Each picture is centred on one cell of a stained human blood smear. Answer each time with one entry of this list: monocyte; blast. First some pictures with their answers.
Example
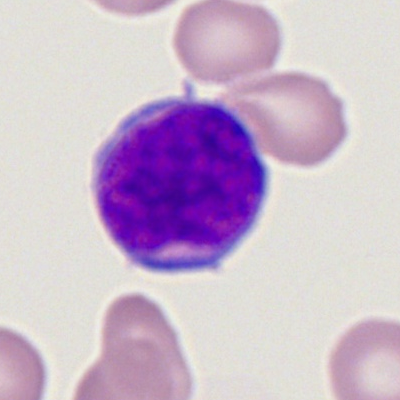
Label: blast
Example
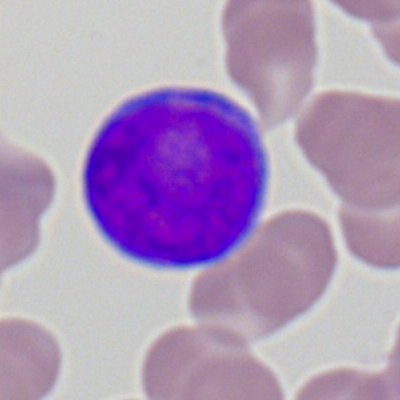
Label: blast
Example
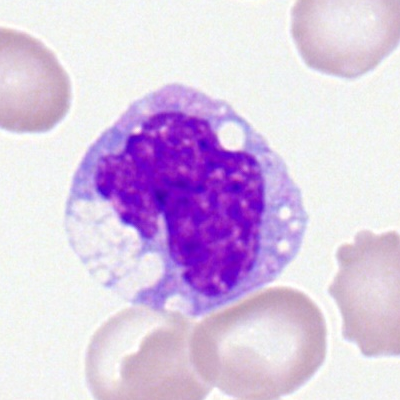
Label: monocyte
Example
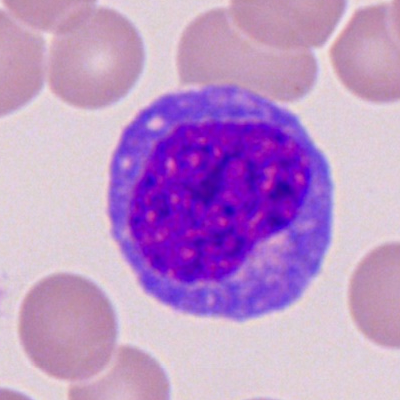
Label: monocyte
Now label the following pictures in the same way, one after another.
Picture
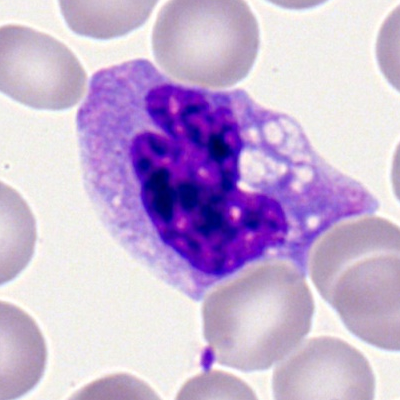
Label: monocyte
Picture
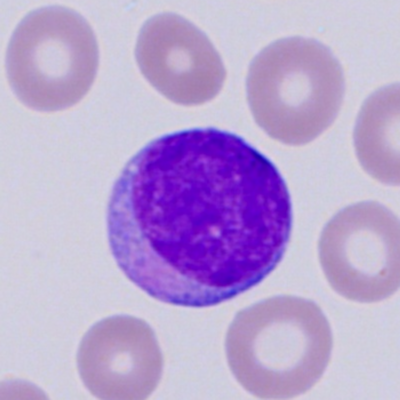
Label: blast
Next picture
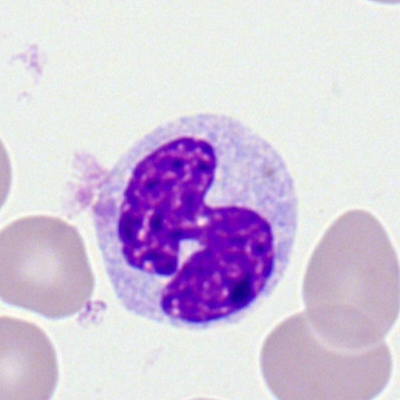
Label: monocyte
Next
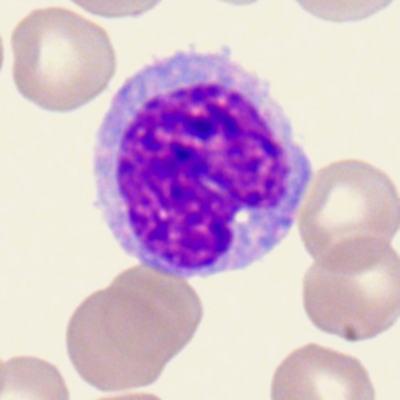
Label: monocyte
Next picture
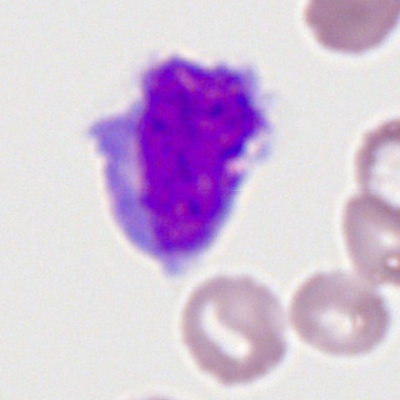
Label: monocyte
